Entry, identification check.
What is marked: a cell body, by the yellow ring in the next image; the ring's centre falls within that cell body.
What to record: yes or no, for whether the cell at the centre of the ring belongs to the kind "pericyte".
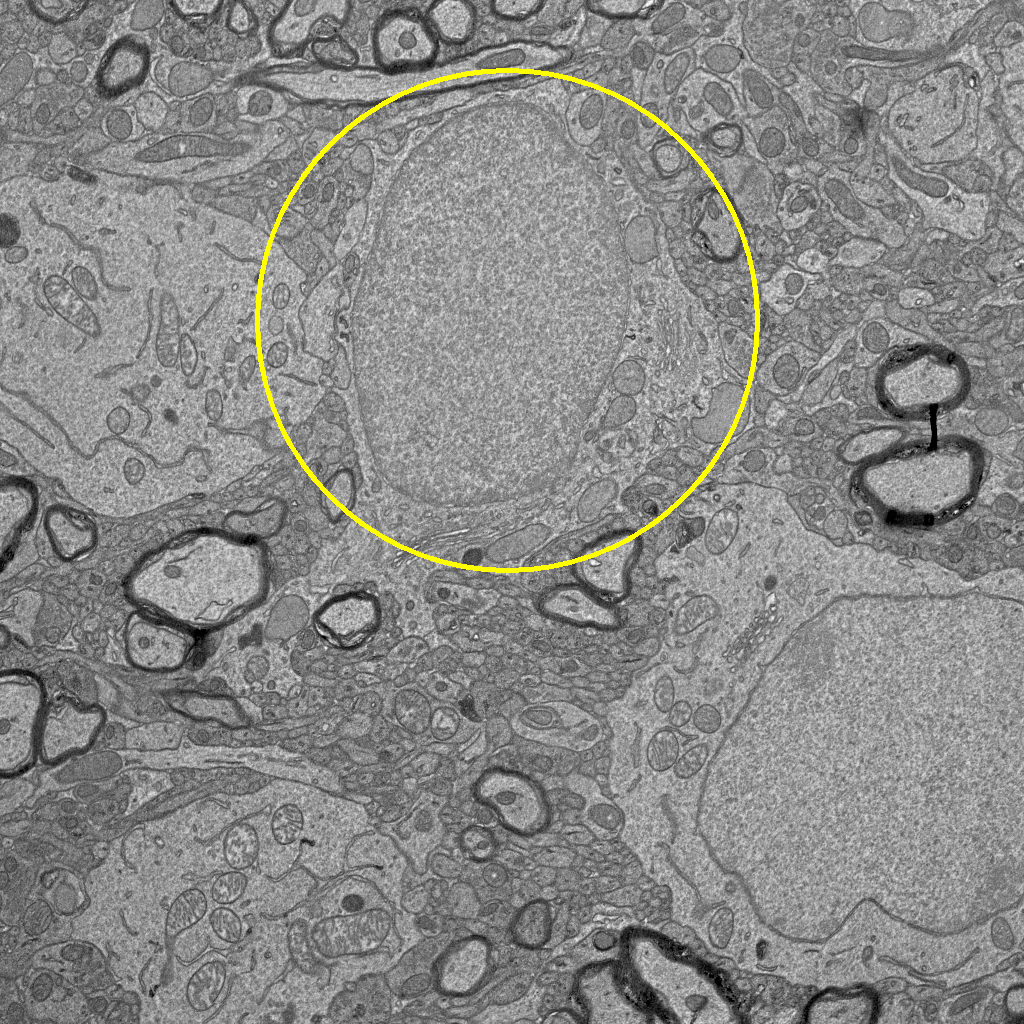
No, it belongs to another kind.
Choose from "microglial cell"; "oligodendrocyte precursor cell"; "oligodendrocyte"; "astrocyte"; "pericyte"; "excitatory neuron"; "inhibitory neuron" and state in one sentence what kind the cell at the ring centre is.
The cell at the ring centre is an astrocyte.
